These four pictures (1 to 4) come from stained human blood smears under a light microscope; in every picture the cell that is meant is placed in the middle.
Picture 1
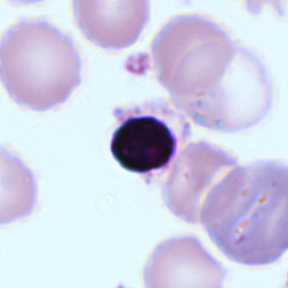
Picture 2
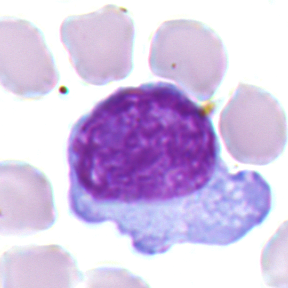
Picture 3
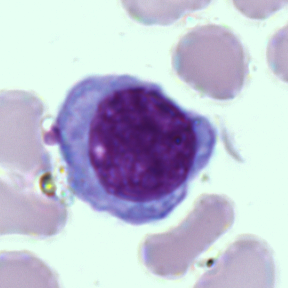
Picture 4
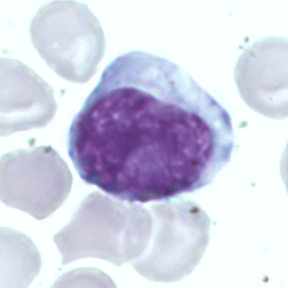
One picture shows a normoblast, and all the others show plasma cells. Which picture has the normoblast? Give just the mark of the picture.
1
